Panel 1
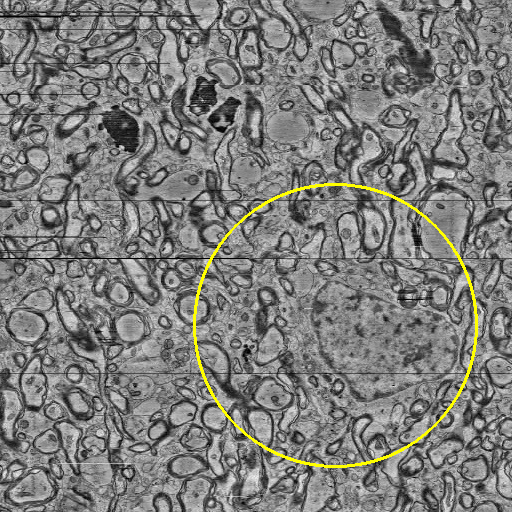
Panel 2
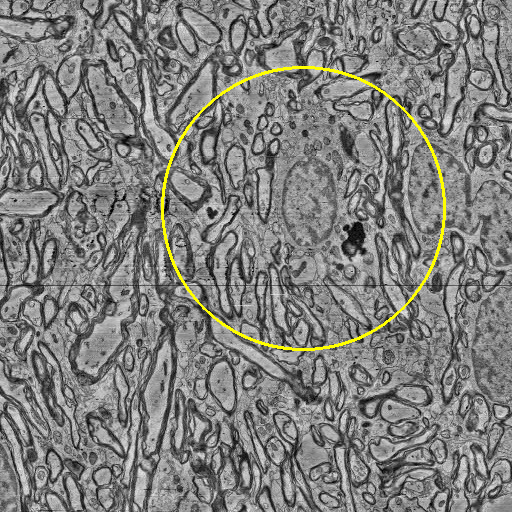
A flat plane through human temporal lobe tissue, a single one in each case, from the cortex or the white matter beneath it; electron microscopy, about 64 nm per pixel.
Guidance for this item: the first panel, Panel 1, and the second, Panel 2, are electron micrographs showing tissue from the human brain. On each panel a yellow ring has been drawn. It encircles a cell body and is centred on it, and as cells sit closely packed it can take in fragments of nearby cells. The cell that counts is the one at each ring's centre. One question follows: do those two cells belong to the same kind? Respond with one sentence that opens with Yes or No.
No, the cells at the ring centres in Panel 1 and Panel 2 are of two kinds.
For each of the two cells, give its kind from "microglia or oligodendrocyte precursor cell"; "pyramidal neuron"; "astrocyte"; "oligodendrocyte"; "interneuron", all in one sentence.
The first picture has a microglial cell or oligodendrocyte precursor cell in its ring, the second has an oligodendrocyte.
